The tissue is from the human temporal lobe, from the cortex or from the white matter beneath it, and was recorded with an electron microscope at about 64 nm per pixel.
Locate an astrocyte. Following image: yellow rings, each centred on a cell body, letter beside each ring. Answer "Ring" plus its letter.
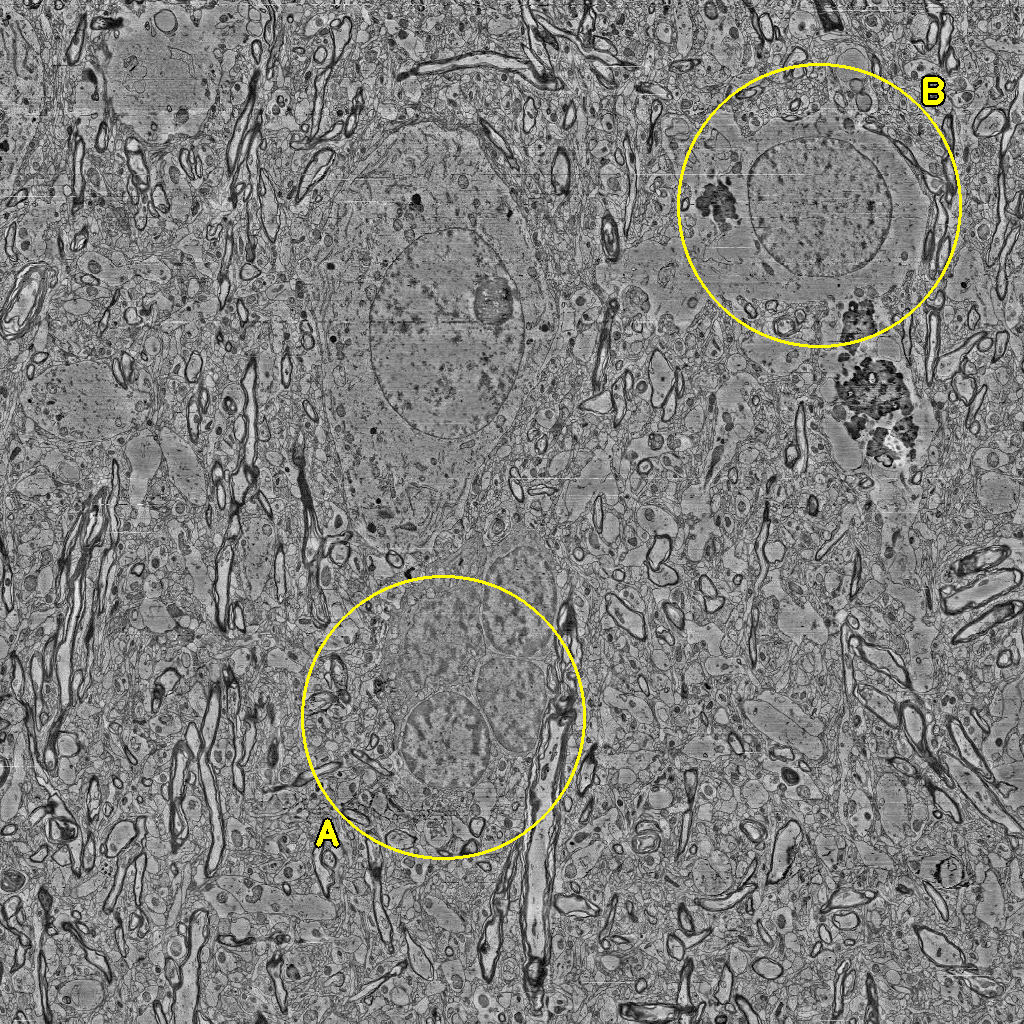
Ring B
